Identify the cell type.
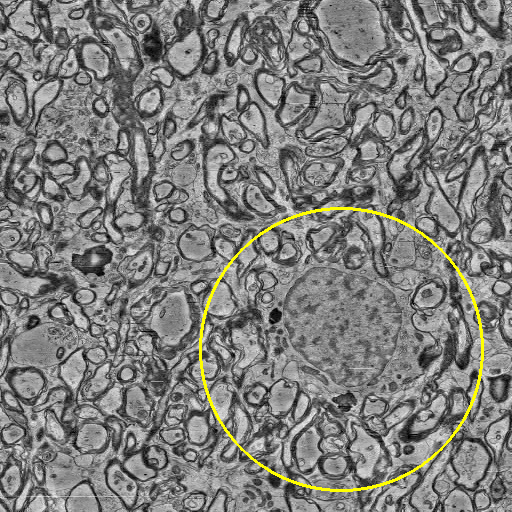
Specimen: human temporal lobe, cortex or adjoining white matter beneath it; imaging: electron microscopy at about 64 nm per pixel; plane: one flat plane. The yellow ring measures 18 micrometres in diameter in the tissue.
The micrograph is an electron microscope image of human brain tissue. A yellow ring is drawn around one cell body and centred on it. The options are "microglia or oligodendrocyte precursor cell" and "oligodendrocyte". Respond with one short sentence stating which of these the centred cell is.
The cell body in the ring belongs to an oligodendrocyte.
